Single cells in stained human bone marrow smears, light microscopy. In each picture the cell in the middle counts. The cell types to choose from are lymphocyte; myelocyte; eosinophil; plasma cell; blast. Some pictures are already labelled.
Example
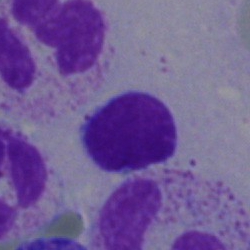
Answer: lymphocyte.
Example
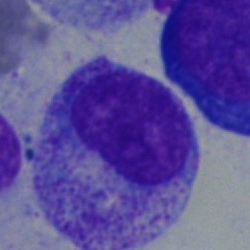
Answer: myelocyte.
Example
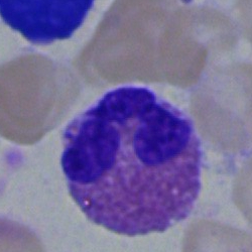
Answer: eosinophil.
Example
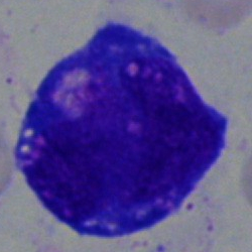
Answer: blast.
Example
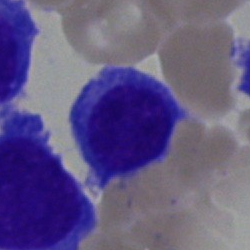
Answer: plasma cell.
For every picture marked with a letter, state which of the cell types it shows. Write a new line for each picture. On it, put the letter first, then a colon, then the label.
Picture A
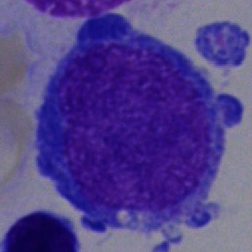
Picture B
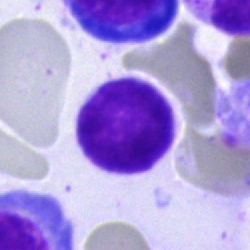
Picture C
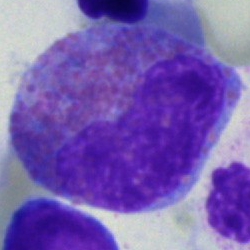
A: blast.
B: lymphocyte.
C: eosinophil.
